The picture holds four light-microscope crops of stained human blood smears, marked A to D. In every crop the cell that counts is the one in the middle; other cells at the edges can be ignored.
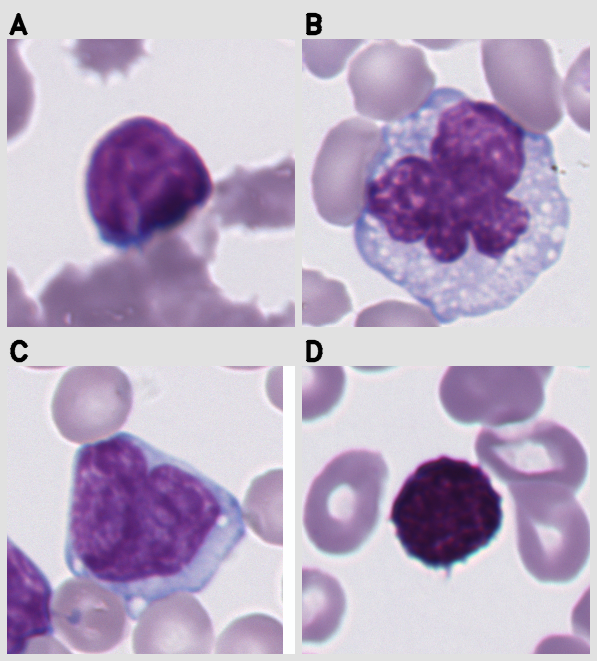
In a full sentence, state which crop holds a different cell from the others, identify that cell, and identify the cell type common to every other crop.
Every crop but one shows myeloblasts; the exception, crop B, shows a monocyte.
